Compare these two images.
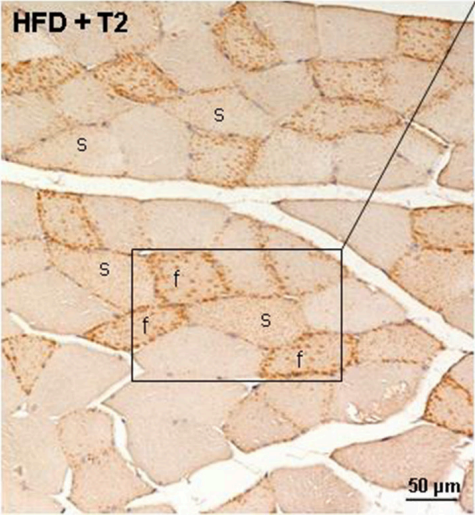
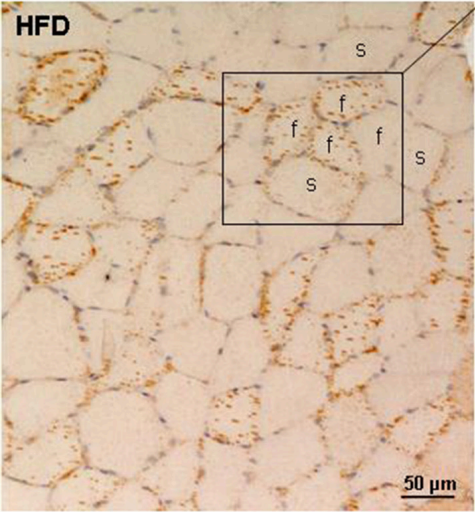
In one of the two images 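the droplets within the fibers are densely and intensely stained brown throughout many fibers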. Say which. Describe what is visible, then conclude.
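The first image. First image: many fibers are filled with dense brown dots, giving them a darker brown tone.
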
